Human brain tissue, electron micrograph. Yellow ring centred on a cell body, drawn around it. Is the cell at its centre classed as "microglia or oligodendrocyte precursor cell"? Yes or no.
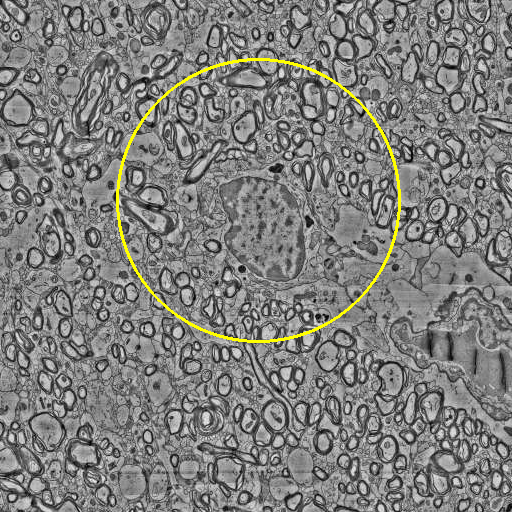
Yes, it is classed as that.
